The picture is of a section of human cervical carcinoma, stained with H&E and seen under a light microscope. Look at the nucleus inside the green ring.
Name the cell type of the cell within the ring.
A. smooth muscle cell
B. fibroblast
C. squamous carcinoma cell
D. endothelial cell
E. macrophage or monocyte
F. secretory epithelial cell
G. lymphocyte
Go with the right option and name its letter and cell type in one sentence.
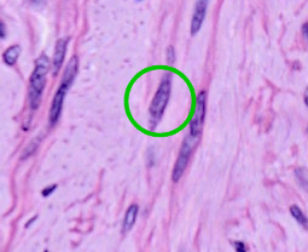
Option A is the one that fits, as the cell within the ring is a smooth muscle cell.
